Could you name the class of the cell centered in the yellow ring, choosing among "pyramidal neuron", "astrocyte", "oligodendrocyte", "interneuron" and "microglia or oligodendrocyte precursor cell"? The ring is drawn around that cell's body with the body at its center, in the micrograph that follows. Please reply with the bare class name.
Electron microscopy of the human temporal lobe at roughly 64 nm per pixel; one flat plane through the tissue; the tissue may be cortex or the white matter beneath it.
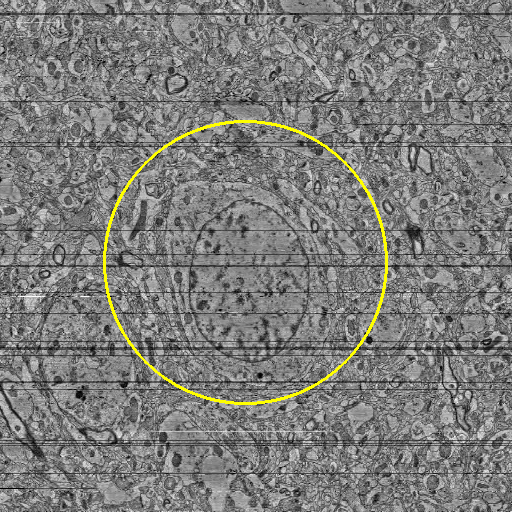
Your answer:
pyramidal neuron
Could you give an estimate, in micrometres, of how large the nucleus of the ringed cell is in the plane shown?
Approximately 11 micrometres long and 8 micrometres wide, in this plane.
